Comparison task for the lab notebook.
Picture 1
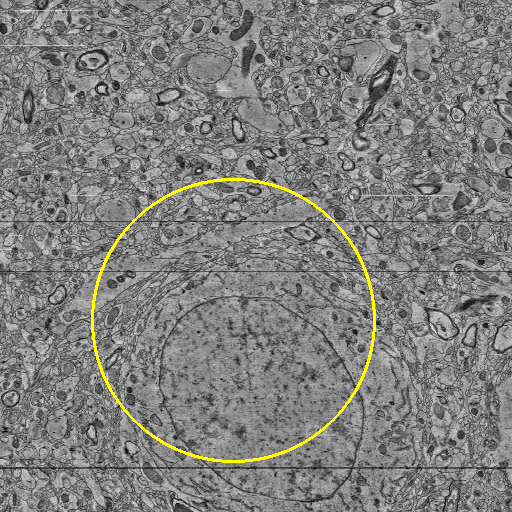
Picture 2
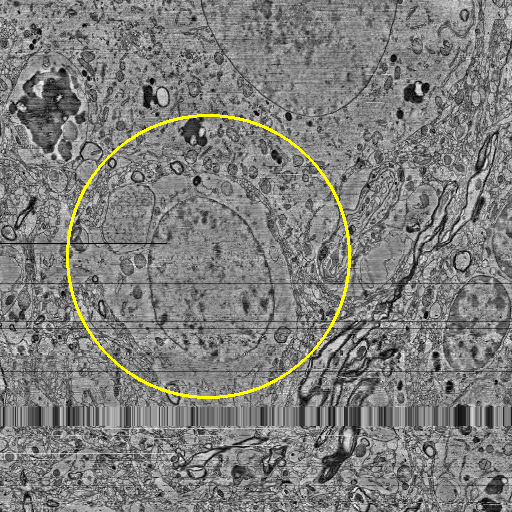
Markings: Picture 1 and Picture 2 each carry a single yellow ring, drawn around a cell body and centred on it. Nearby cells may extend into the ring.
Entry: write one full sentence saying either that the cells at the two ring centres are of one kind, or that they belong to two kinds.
The cells sitting at the ring centres in Picture 1 and Picture 2 belong to two kinds.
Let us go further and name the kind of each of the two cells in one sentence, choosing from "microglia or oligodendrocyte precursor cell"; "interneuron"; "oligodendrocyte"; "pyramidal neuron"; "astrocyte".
The ring of the first picture is on a pyramidal neuron, the ring of the second on an astrocyte.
